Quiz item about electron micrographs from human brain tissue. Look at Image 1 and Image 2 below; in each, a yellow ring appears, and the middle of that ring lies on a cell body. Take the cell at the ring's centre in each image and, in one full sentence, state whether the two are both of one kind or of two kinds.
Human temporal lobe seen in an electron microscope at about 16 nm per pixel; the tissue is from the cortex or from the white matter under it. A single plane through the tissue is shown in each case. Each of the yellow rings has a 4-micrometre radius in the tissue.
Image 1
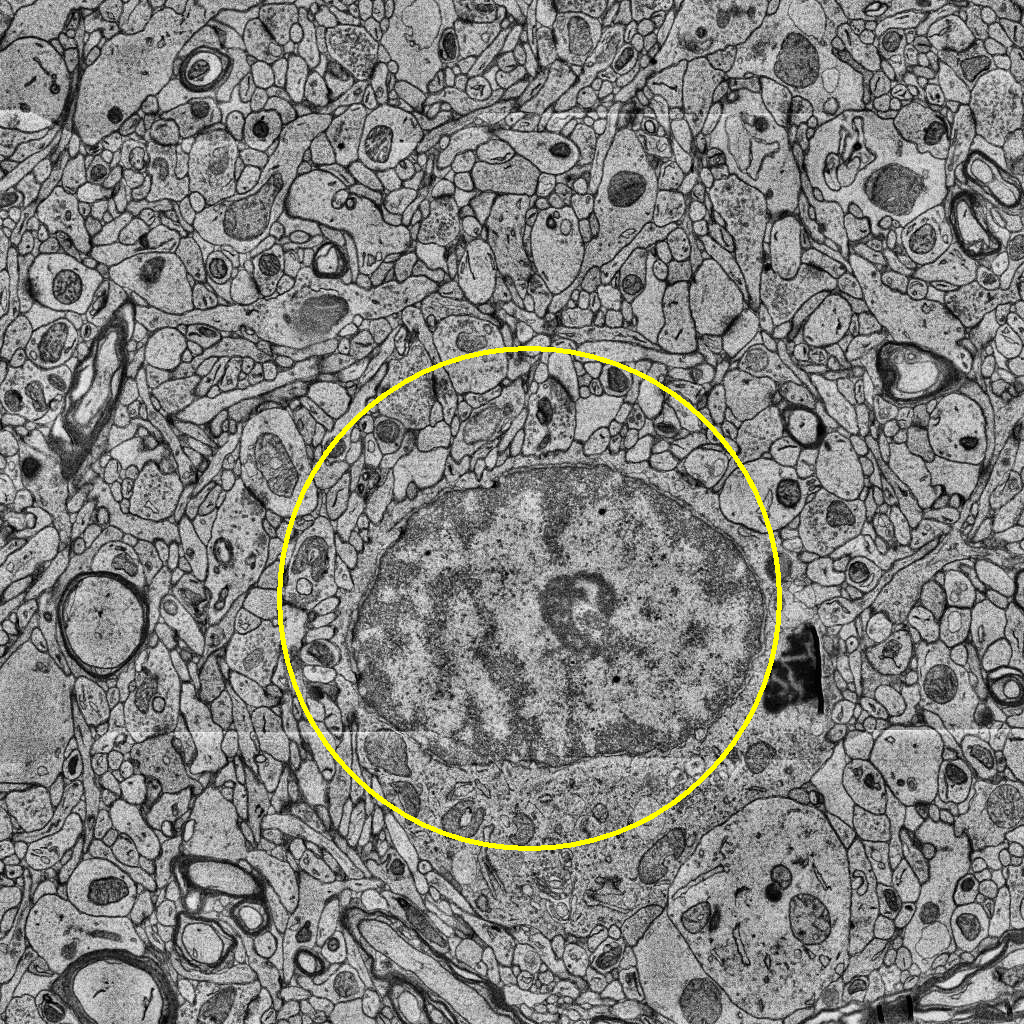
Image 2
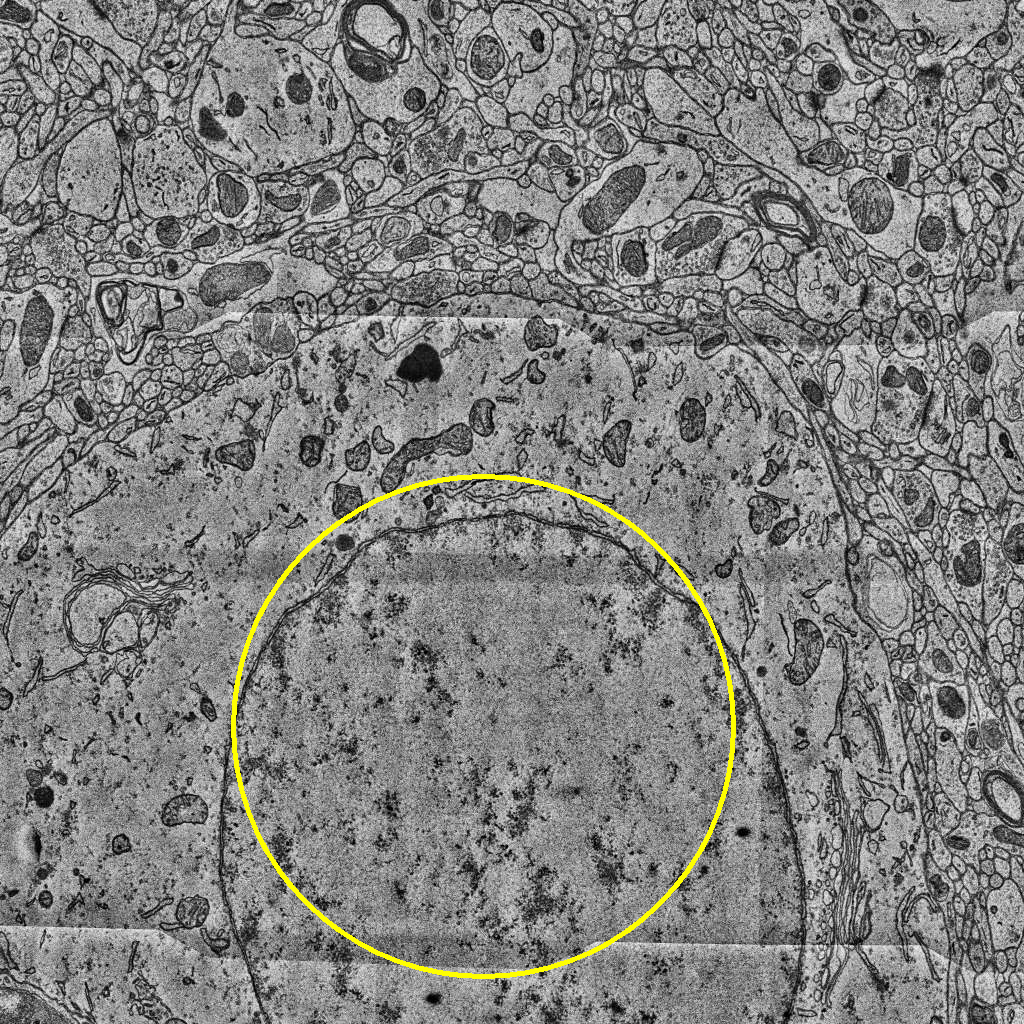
In Image 1 and Image 2, the cells at the ring centres are of two kinds.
